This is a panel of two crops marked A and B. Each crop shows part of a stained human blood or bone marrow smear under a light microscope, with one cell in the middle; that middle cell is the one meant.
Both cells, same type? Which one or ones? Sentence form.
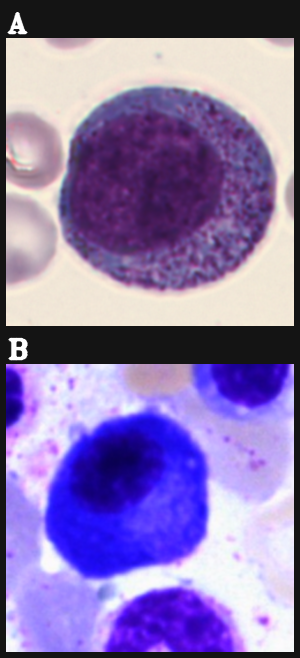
No, crop B holds a plasma cell, while crop A holds a promyelocyte.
